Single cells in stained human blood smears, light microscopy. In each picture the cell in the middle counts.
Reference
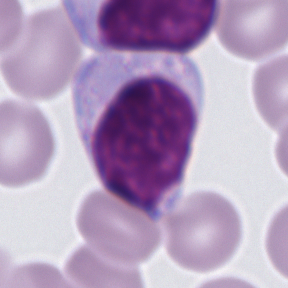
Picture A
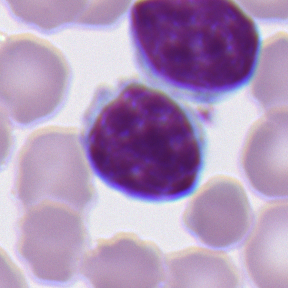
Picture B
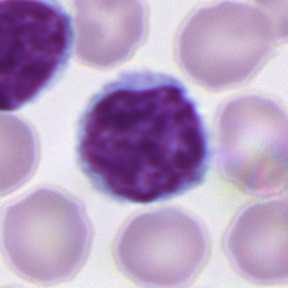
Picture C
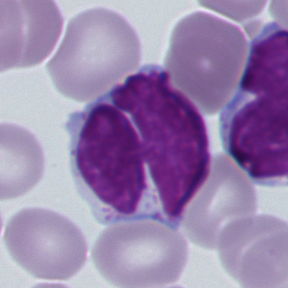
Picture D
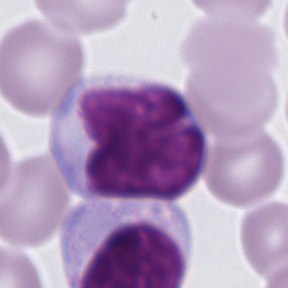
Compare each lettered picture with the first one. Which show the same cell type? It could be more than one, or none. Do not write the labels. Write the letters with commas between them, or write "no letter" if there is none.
C, D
